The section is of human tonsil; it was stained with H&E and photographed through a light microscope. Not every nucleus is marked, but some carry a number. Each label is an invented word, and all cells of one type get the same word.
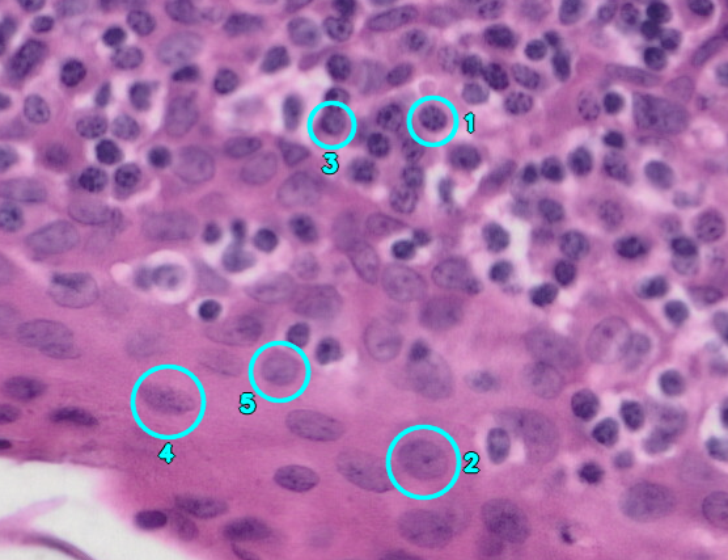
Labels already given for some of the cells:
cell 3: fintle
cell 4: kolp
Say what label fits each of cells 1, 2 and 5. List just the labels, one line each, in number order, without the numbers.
fintle
kolp
kolp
